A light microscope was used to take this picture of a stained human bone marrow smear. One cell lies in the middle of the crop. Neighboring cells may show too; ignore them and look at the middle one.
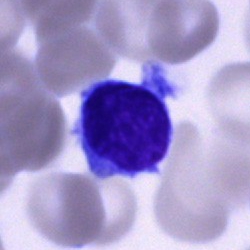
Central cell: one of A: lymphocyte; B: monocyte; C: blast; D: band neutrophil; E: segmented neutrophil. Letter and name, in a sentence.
The cell centred in the crop is a lymphocyte, and the correct option is thus A.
